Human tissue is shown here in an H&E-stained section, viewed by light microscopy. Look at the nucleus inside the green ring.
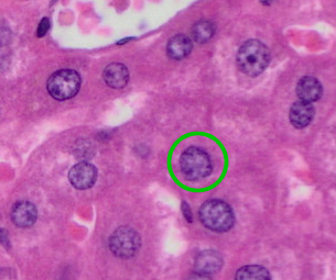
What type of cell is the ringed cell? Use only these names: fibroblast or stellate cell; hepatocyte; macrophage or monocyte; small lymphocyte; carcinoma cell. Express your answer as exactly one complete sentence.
It is a hepatocyte that the ringed cell represents.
